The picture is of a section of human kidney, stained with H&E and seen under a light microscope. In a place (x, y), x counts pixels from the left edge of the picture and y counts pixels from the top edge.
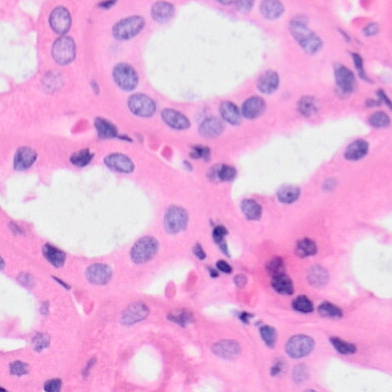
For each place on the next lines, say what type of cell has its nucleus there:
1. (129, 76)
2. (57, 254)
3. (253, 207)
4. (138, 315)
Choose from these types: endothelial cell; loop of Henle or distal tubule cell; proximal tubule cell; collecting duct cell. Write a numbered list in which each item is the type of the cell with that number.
1. collecting duct cell
2. loop of Henle or distal tubule cell
3. loop of Henle or distal tubule cell
4. proximal tubule cell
